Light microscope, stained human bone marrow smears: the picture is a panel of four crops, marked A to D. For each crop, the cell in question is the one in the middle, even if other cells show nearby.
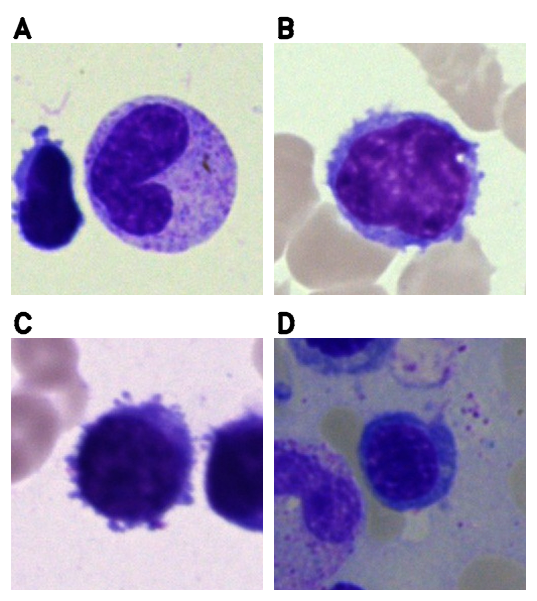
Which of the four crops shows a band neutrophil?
A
